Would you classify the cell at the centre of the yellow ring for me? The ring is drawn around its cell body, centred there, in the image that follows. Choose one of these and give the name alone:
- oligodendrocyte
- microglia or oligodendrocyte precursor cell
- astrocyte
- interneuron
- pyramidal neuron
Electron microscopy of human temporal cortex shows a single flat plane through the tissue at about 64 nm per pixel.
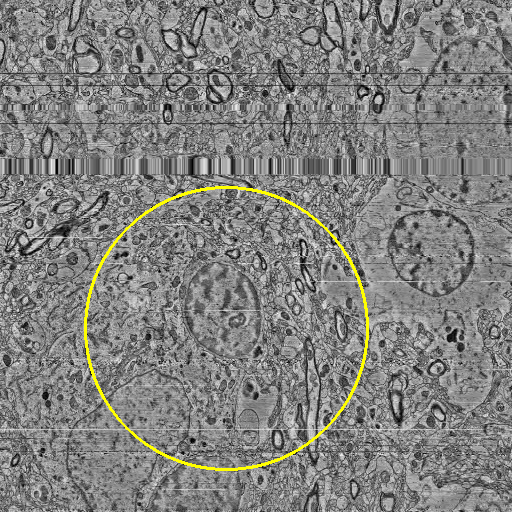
oligodendrocyte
